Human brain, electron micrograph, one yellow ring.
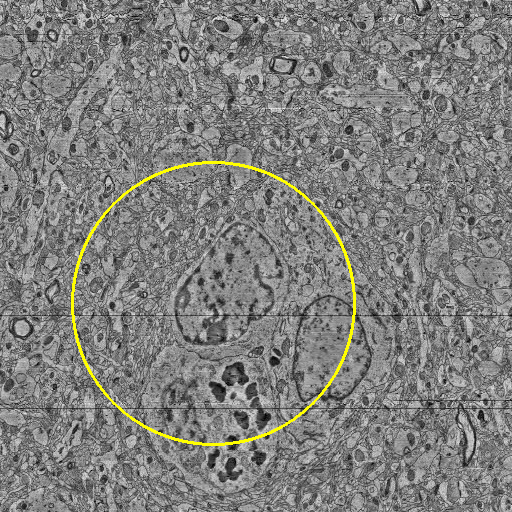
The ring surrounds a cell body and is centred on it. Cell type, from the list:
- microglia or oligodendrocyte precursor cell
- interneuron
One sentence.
The yellow ring circles a microglial cell or oligodendrocyte precursor cell.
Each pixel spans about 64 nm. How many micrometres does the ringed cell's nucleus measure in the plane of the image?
About 8 micrometres by about 6 micrometres in this plane.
